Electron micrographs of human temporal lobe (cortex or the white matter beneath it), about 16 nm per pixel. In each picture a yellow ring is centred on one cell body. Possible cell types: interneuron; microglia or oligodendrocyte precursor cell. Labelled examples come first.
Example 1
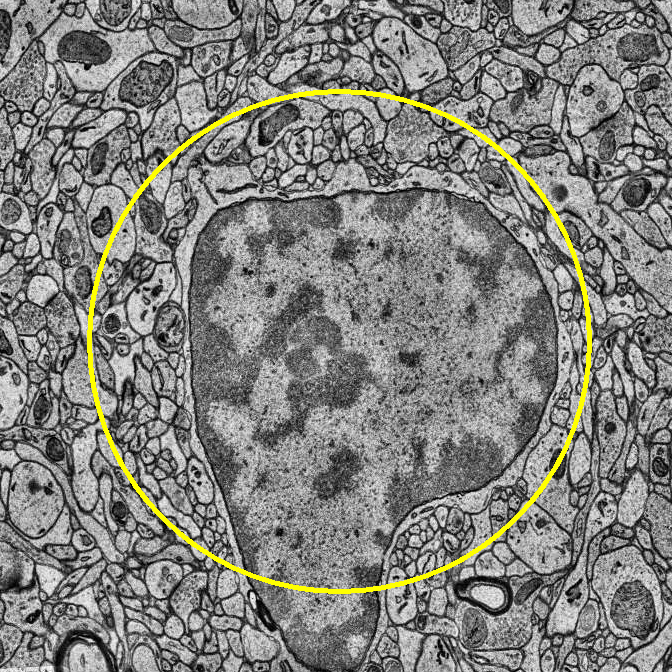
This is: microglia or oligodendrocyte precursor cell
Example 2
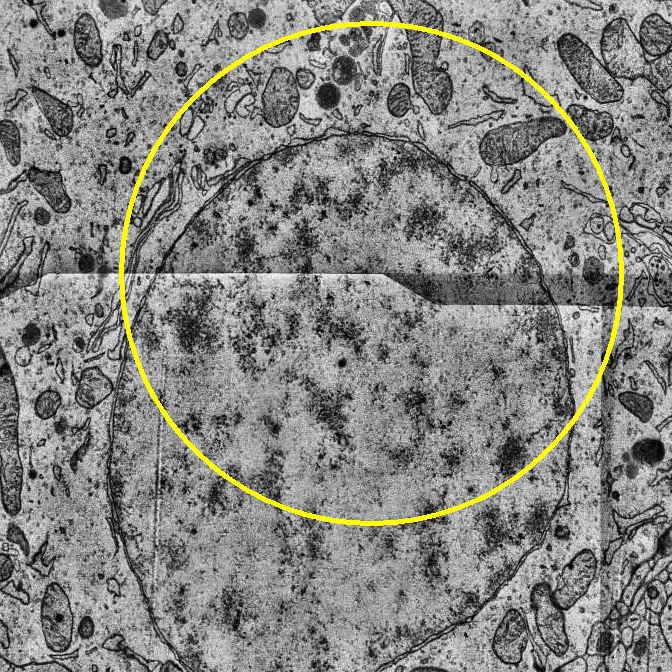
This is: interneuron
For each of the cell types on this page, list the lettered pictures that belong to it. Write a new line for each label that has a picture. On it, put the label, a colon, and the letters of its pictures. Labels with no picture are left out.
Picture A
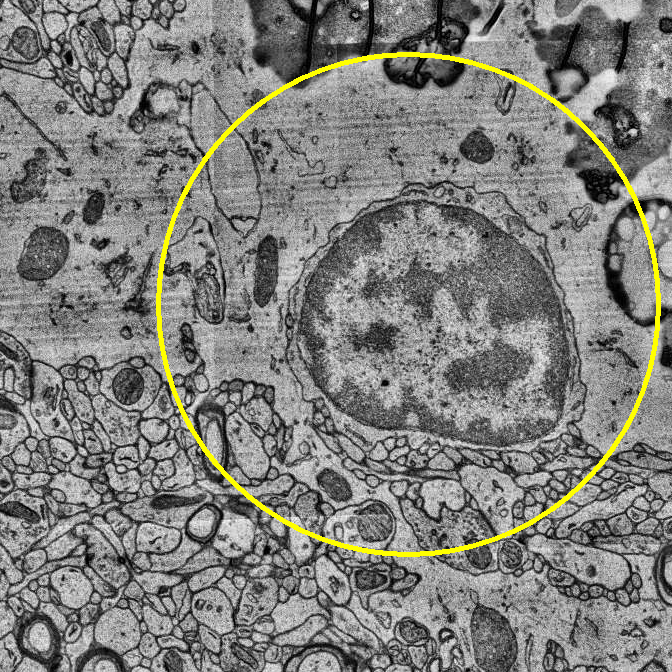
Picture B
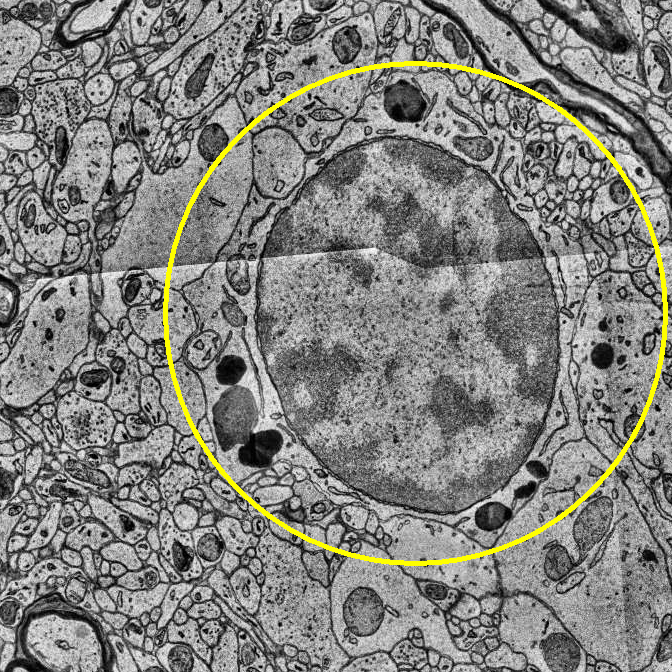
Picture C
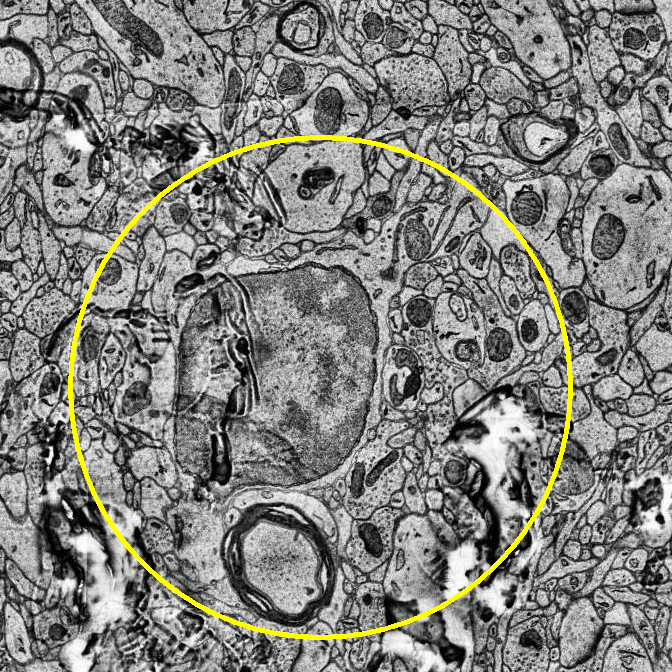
microglia or oligodendrocyte precursor cell: A, B, C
